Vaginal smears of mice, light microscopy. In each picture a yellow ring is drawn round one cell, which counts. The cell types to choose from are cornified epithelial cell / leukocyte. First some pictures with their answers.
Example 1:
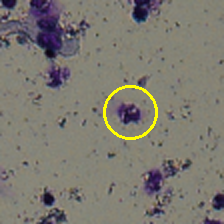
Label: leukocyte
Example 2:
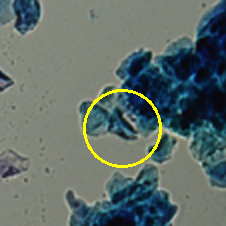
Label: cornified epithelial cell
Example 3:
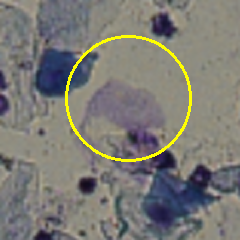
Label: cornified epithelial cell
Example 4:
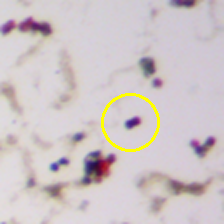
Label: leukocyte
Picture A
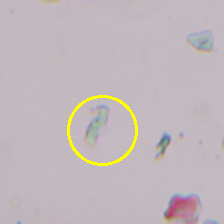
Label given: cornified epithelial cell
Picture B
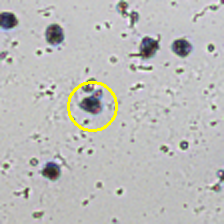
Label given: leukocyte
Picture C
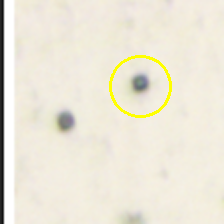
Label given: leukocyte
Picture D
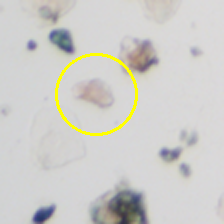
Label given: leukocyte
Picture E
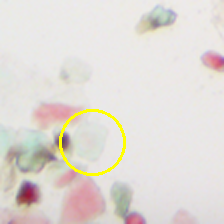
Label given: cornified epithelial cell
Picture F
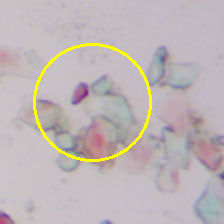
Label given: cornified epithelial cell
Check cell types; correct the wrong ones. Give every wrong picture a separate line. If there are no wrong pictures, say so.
D: cornified epithelial cell, not leukocyte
